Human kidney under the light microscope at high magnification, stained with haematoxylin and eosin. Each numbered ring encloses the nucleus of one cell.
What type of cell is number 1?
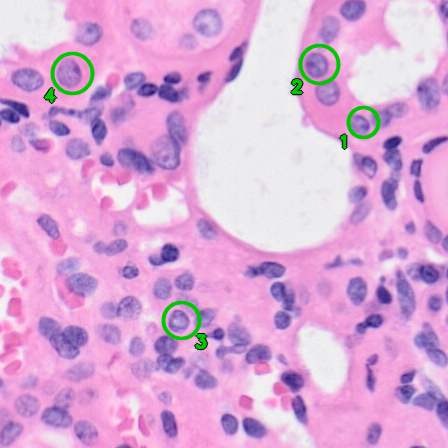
collecting duct cell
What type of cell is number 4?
proximal tubule cell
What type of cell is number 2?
collecting duct cell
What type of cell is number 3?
collecting duct cell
